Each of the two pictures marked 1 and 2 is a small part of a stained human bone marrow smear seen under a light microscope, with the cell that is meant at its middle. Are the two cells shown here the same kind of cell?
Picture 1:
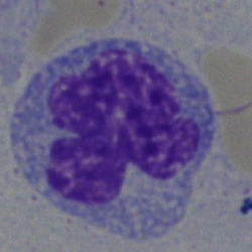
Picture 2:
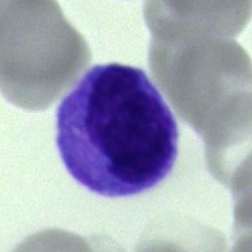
yes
